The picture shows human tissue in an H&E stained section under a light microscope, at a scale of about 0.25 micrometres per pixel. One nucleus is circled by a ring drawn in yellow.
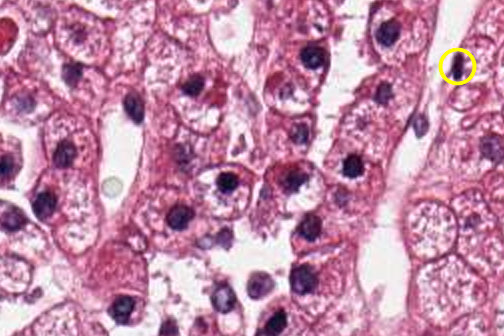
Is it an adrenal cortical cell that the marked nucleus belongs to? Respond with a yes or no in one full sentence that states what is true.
No, the marked nucleus is held by a supporting cell and not by an adrenal cortical cell.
